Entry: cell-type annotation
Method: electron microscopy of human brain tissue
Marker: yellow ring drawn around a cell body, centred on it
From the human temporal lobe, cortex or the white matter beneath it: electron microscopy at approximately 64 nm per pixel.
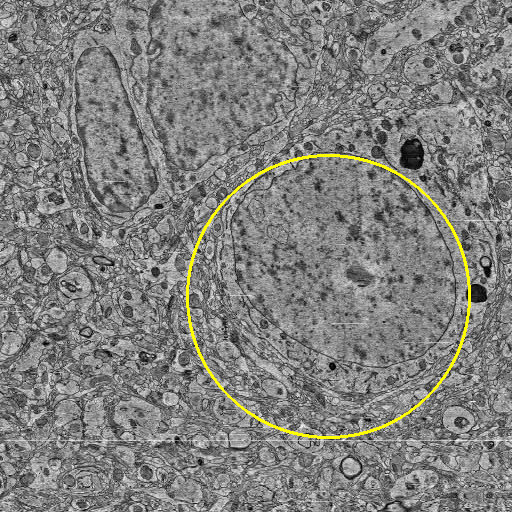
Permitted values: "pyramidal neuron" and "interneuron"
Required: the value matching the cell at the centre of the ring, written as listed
pyramidal neuron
